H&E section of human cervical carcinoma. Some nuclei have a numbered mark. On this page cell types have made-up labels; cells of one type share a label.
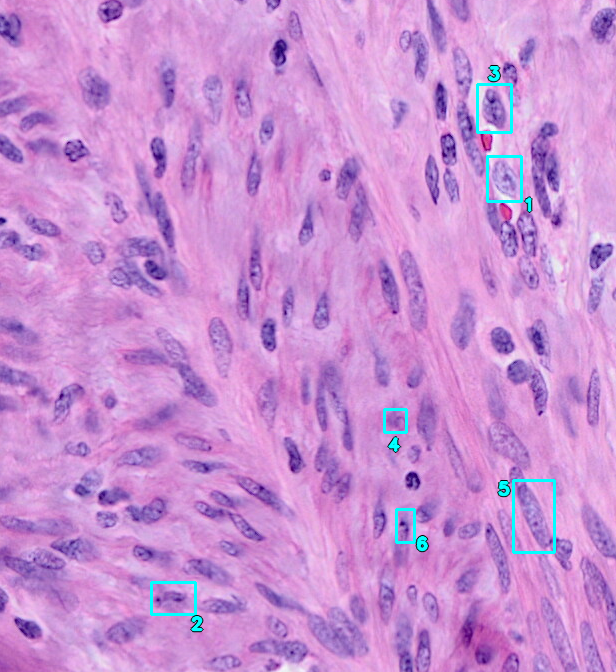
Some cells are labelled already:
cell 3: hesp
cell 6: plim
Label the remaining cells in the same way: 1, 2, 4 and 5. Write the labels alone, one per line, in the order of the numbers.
hesp
plim
plim
plim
